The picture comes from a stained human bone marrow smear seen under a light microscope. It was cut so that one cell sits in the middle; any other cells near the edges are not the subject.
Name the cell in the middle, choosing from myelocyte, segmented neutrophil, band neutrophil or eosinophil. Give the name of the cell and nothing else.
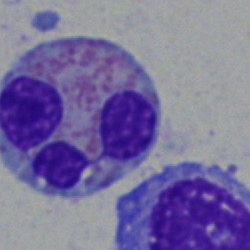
eosinophil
